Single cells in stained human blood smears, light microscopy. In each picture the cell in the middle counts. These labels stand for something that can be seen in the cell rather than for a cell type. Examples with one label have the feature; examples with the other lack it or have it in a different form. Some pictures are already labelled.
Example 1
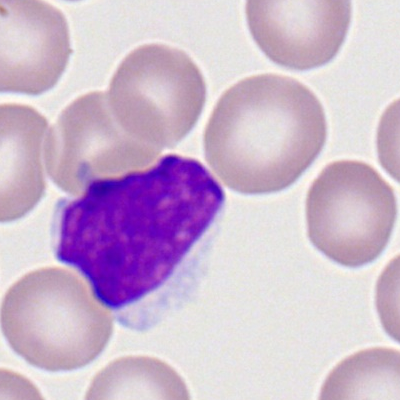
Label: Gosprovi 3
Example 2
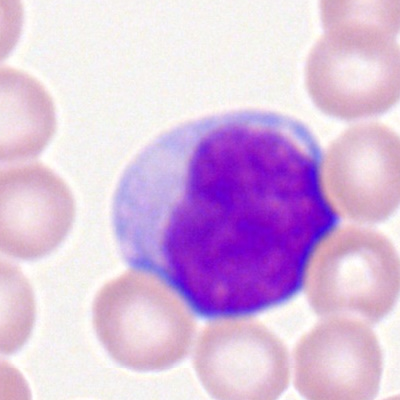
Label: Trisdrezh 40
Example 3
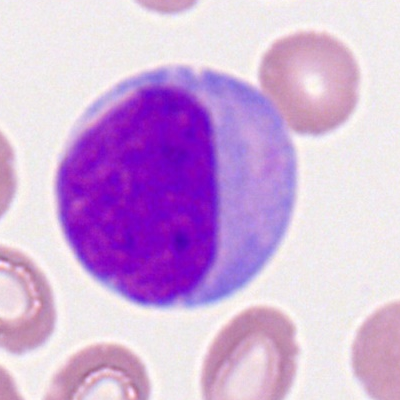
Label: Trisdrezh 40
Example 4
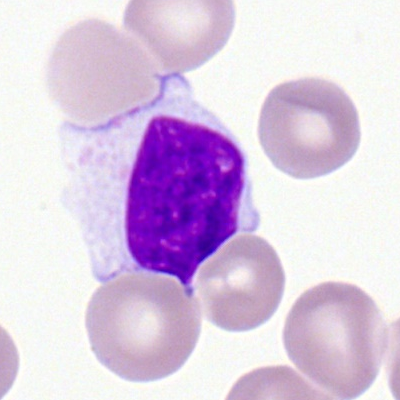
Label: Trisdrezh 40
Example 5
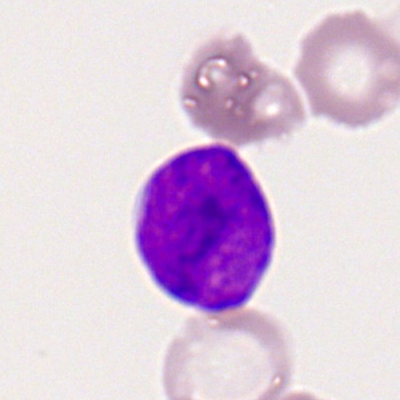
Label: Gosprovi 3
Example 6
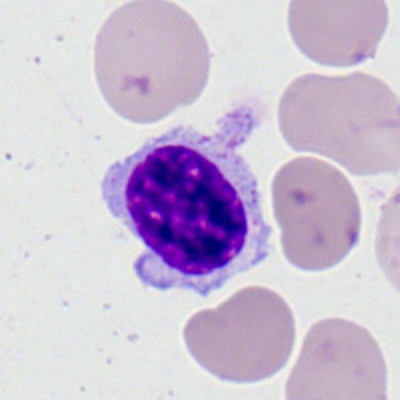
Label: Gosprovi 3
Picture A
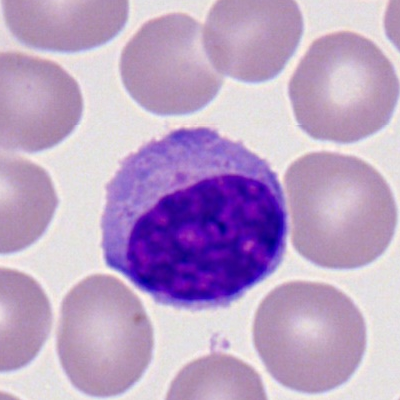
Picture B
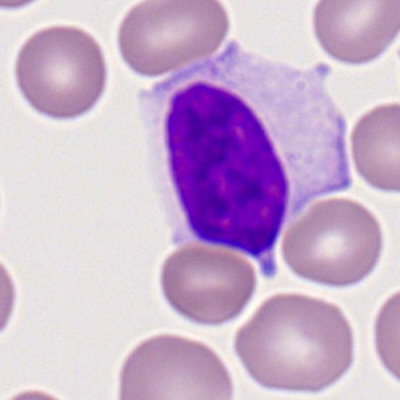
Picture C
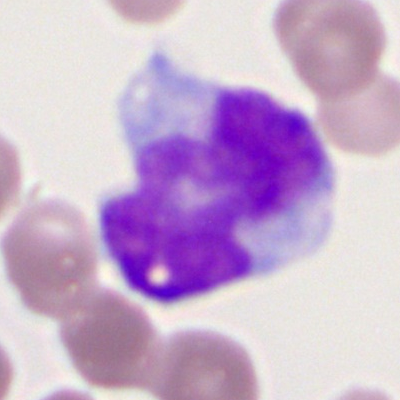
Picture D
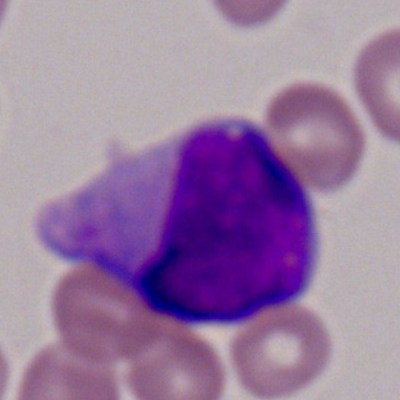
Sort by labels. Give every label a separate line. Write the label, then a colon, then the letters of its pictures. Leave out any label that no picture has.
Gosprovi 3: C
Trisdrezh 40: A, B, D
